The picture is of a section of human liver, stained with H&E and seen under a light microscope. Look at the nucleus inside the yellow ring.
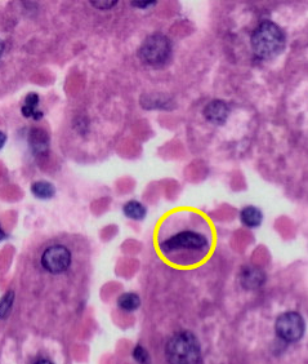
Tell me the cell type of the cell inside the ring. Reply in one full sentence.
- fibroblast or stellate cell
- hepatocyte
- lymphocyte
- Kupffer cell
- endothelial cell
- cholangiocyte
The identity of the cell inside the ring: it is a fibroblast or stellate cell.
